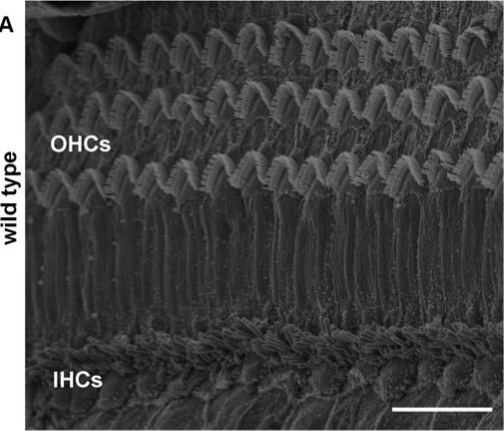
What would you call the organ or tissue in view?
Organ of Corti.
